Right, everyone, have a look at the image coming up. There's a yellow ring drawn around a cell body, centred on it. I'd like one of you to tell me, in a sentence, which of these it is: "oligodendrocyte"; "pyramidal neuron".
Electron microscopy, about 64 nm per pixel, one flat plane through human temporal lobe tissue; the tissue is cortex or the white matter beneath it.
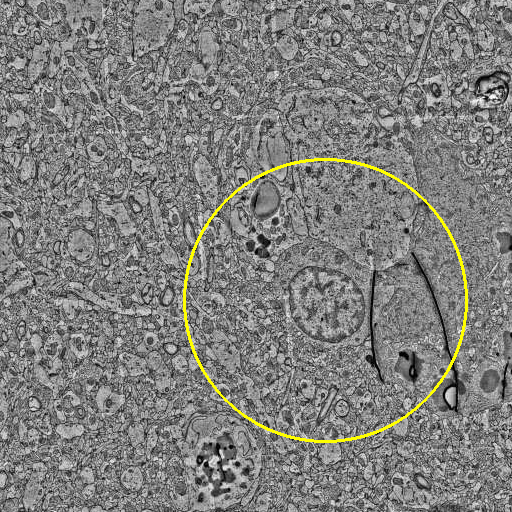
The yellow ring sits on an oligodendrocyte.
